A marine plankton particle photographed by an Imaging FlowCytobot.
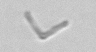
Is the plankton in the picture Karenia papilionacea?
No, it is Nanoneis.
